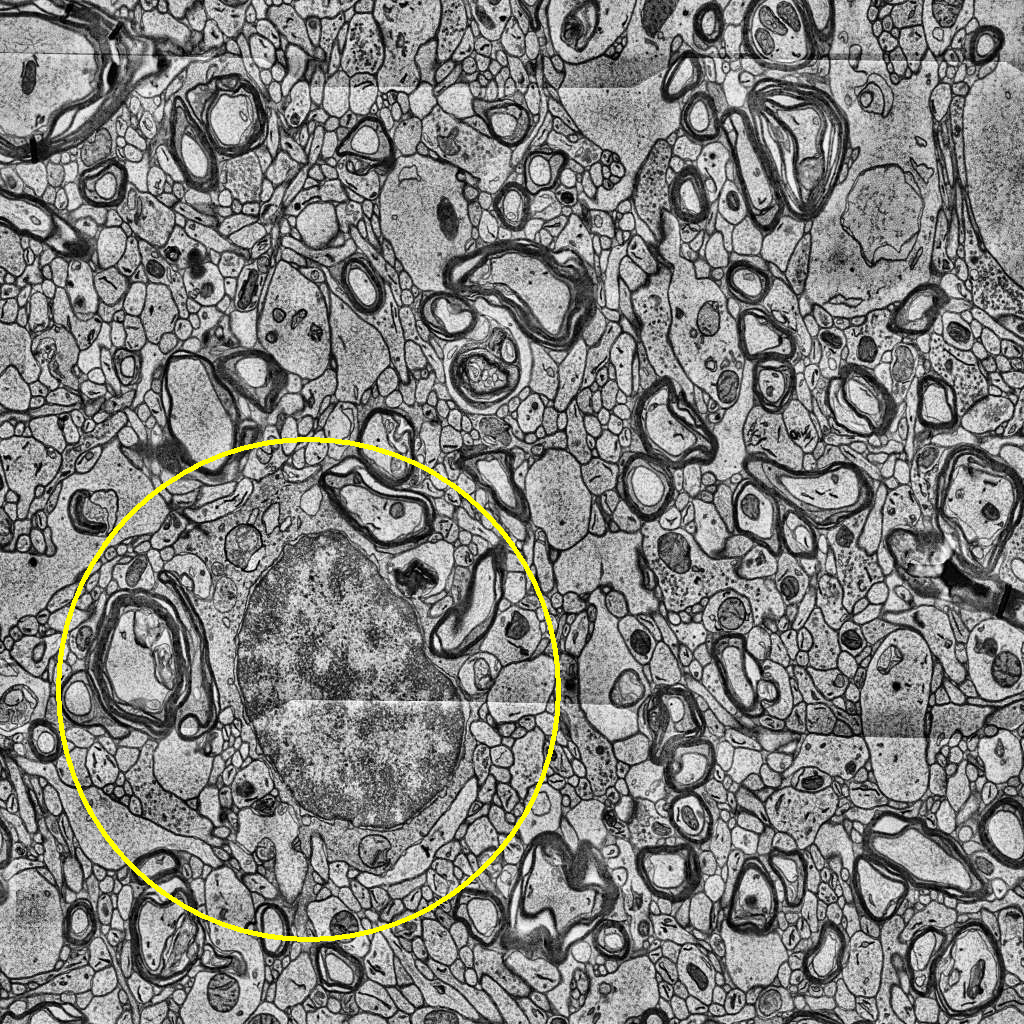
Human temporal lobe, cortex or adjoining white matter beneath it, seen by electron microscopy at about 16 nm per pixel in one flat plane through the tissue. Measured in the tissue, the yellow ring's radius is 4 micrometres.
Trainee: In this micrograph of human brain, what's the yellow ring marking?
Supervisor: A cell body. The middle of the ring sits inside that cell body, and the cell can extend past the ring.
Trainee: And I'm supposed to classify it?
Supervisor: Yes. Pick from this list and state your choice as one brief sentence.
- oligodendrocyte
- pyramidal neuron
The cell at the ring's center is an oligodendrocyte.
